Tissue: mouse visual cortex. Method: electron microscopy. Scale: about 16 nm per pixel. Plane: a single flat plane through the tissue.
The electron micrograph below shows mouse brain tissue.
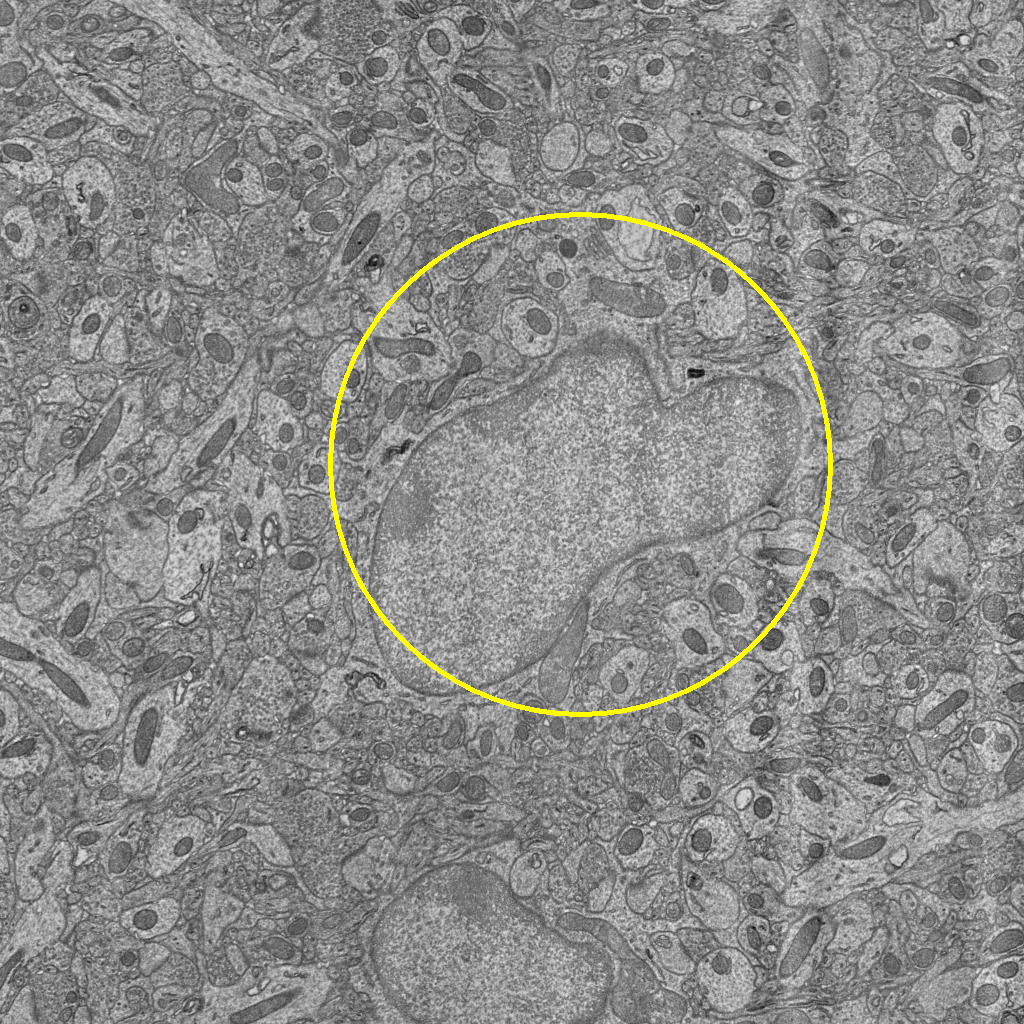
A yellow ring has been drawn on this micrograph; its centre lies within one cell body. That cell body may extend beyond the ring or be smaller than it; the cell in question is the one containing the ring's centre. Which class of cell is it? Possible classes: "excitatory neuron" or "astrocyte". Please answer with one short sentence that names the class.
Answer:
In the centre of the ring sits an astrocyte.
